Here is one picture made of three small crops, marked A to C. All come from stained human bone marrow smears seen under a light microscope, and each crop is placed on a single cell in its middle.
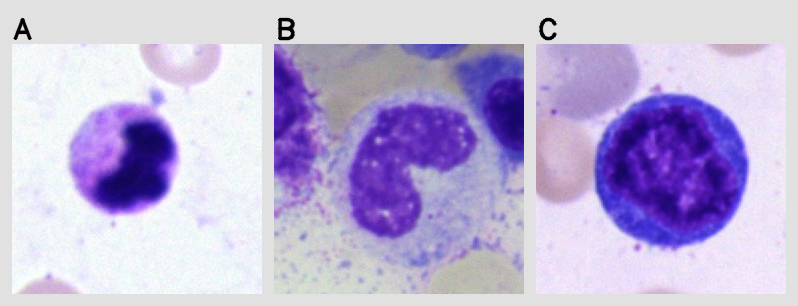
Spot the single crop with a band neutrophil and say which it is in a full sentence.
Among these crops, crop B holds a band neutrophil.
